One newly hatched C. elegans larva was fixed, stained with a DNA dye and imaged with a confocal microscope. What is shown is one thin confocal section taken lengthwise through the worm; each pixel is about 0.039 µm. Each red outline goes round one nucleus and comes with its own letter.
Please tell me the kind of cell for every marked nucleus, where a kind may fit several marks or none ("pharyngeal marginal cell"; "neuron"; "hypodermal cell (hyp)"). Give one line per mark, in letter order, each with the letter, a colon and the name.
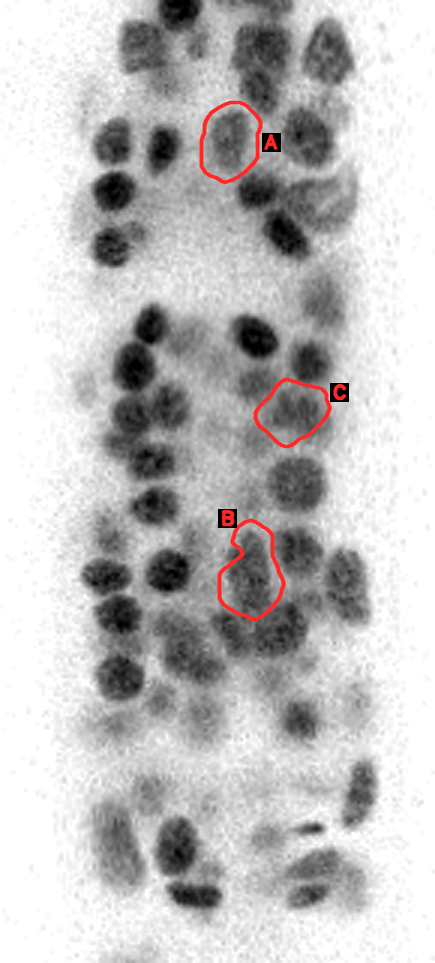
A: neuron
B: pharyngeal marginal cell
C: neuron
